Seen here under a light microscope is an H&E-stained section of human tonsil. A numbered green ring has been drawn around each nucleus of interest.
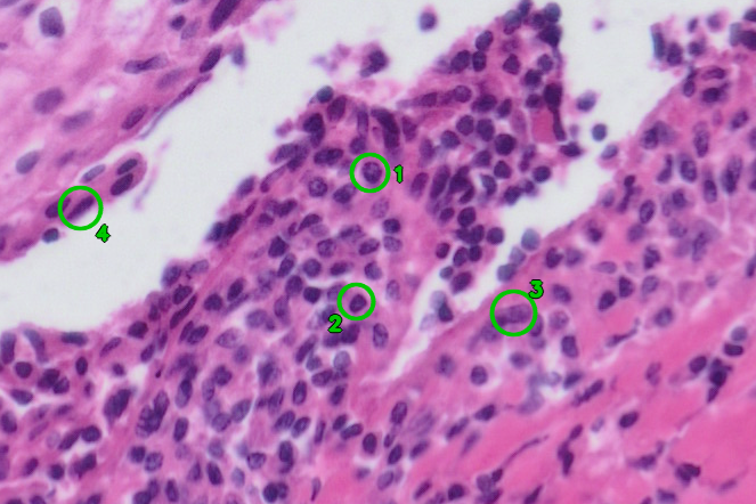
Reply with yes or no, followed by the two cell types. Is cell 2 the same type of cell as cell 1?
Yes, both are plasma cells.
